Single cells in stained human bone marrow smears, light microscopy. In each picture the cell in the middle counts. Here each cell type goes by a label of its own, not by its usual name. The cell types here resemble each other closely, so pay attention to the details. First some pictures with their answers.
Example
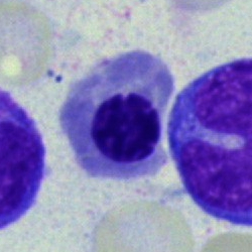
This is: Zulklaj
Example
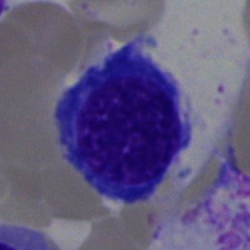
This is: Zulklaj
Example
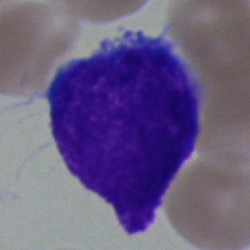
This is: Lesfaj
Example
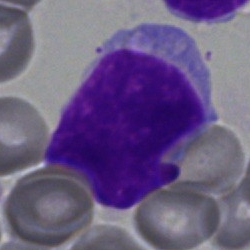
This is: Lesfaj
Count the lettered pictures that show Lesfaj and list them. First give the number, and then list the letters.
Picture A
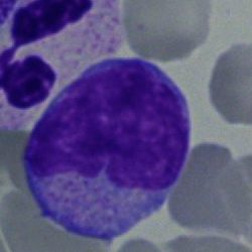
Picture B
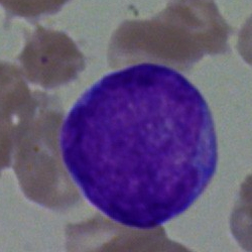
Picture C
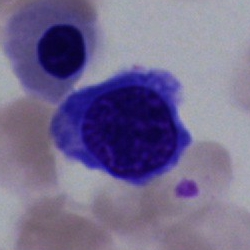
Count: 2 (A, B)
